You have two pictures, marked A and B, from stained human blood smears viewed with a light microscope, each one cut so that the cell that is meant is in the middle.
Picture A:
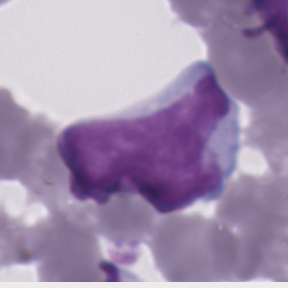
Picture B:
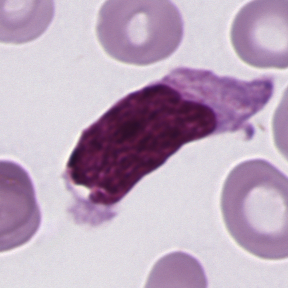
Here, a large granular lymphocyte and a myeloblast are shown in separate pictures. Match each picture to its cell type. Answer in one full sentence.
Picture A shows a myeloblast and picture B shows a large granular lymphocyte.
